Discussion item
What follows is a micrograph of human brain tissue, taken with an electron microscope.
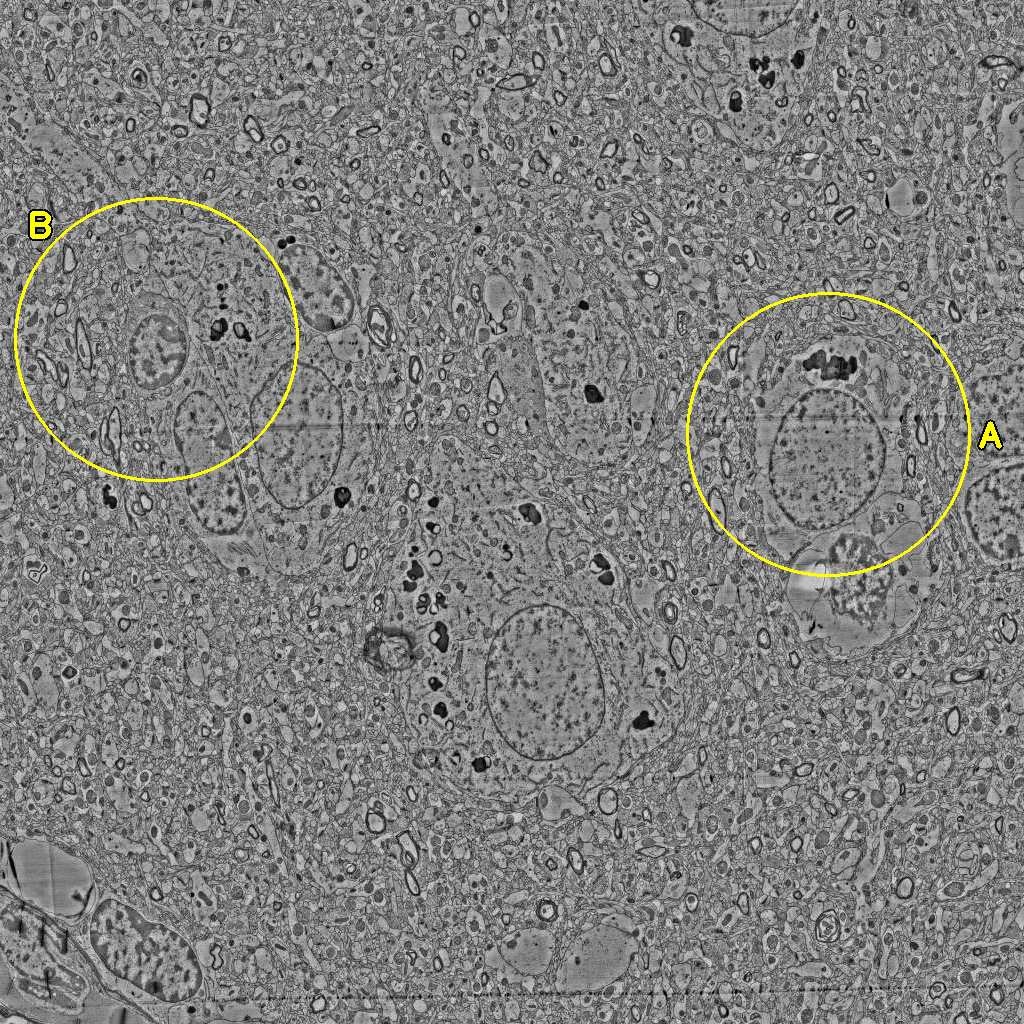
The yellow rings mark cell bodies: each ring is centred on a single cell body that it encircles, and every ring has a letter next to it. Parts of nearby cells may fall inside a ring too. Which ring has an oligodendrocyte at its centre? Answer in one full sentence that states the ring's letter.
Ring B is the ring whose centre falls on the cell the question asks about.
